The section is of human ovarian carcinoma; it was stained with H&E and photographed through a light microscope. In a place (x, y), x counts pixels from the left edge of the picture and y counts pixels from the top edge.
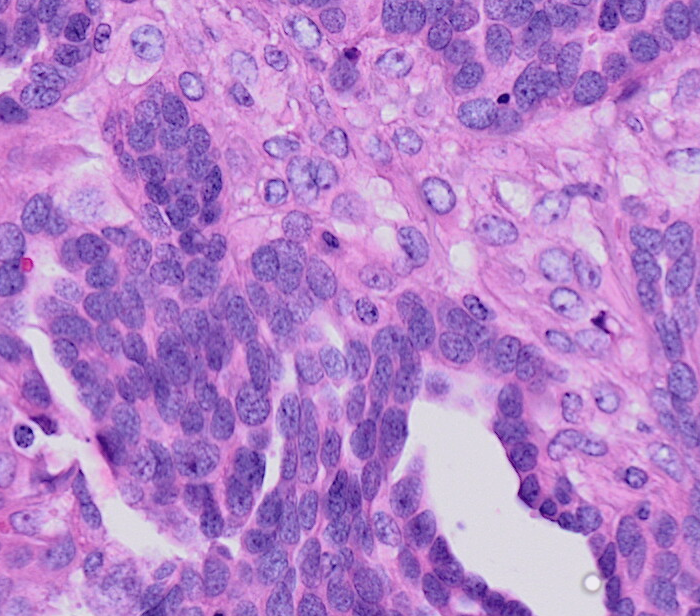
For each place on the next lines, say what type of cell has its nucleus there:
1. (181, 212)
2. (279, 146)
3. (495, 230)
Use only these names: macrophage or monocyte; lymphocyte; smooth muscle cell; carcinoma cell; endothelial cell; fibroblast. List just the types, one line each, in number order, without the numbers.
carcinoma cell
fibroblast
fibroblast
